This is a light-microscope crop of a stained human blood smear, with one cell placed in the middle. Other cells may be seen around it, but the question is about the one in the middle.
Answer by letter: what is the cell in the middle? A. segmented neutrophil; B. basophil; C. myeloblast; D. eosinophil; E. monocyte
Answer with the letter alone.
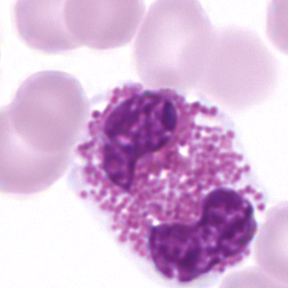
D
